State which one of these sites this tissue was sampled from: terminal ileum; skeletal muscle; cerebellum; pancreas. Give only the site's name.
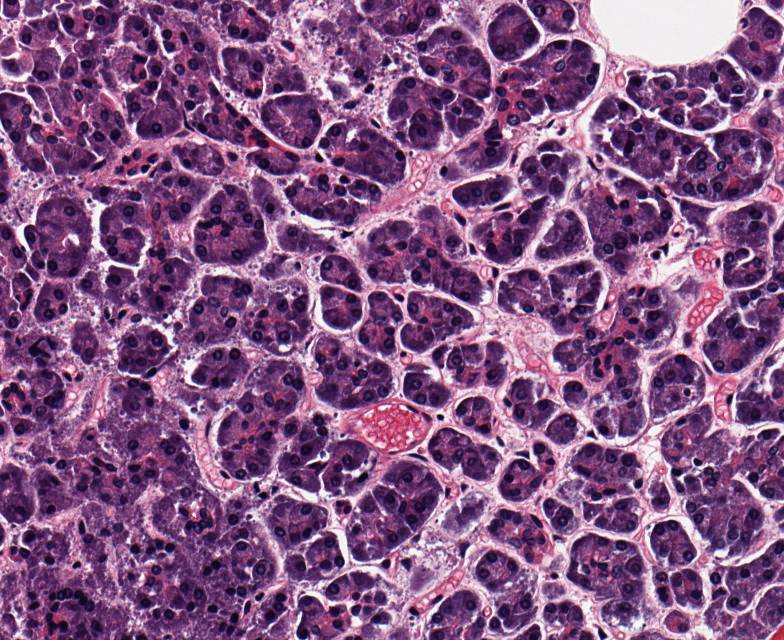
pancreas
